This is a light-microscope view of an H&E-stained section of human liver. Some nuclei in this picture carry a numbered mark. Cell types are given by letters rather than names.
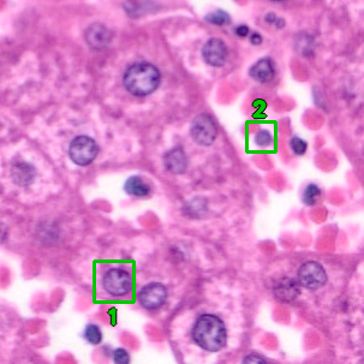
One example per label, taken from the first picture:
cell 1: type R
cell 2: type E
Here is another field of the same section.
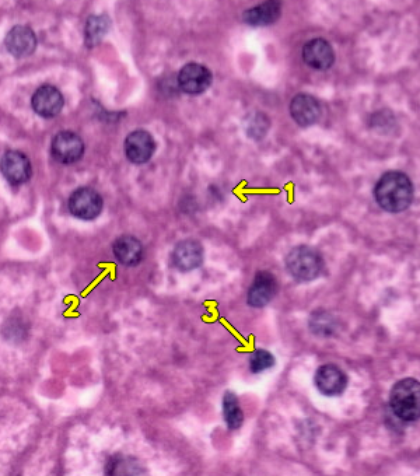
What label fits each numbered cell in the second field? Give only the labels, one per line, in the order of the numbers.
type R
type R
type E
